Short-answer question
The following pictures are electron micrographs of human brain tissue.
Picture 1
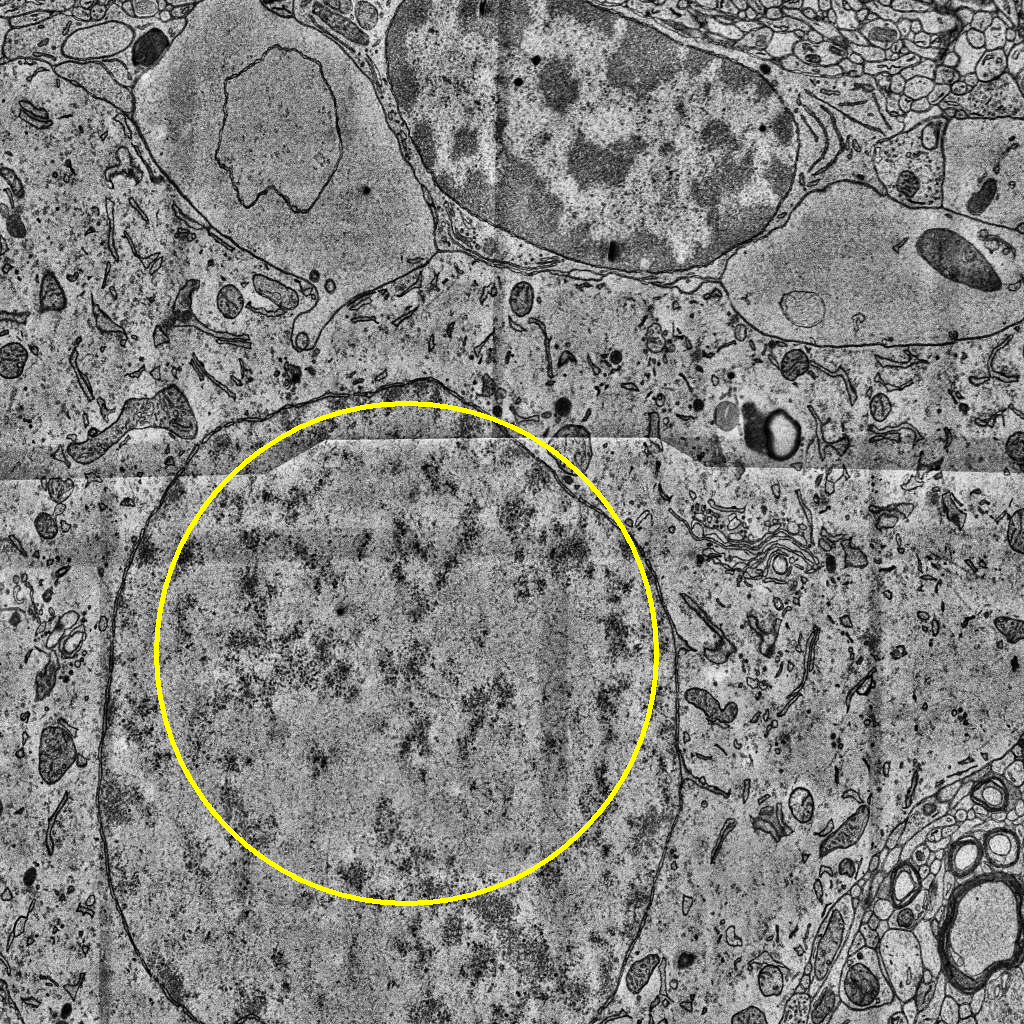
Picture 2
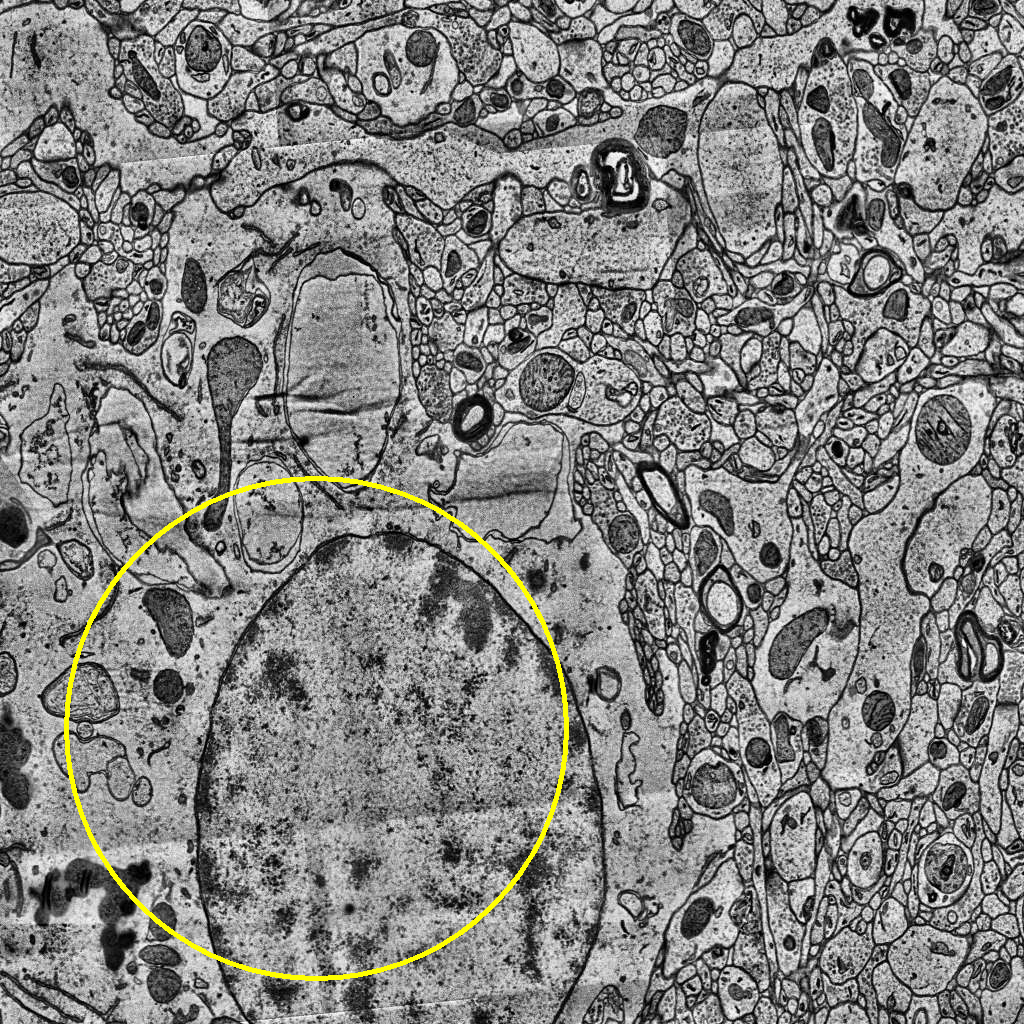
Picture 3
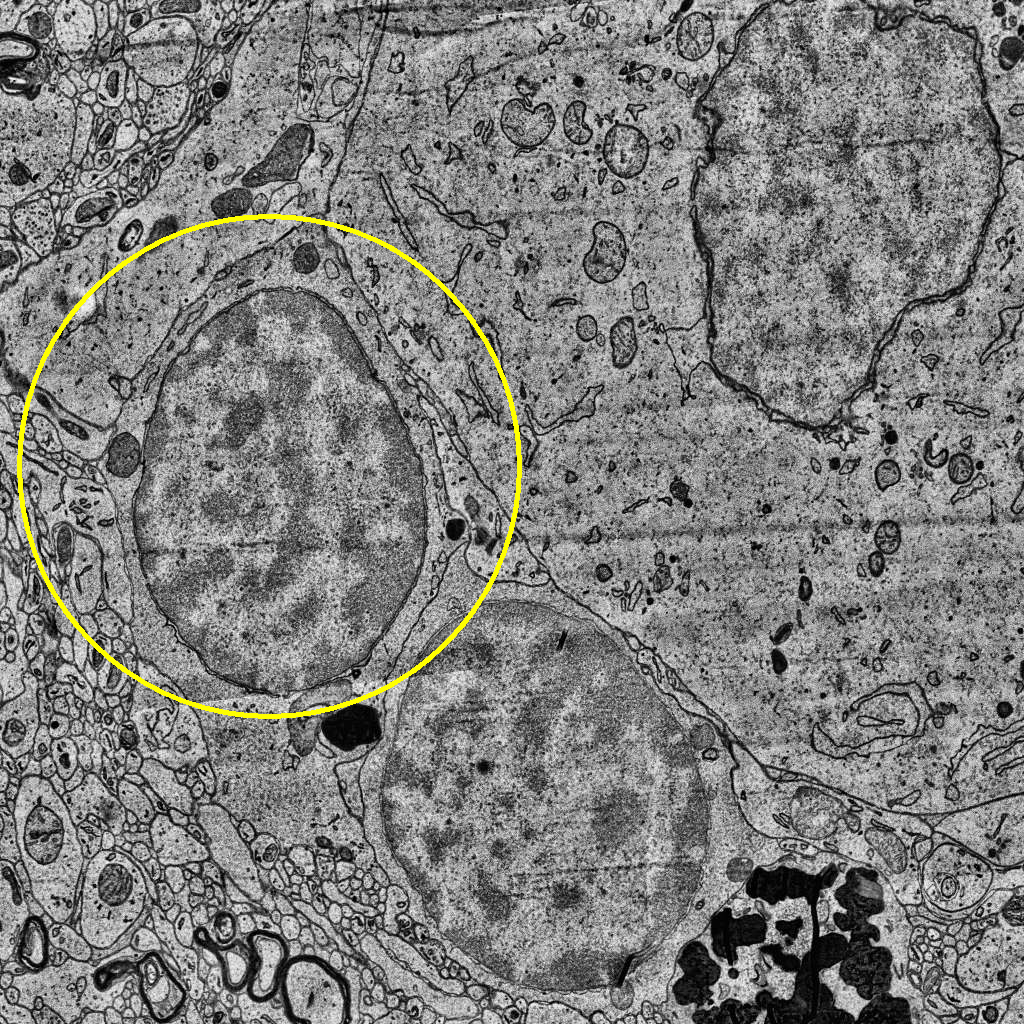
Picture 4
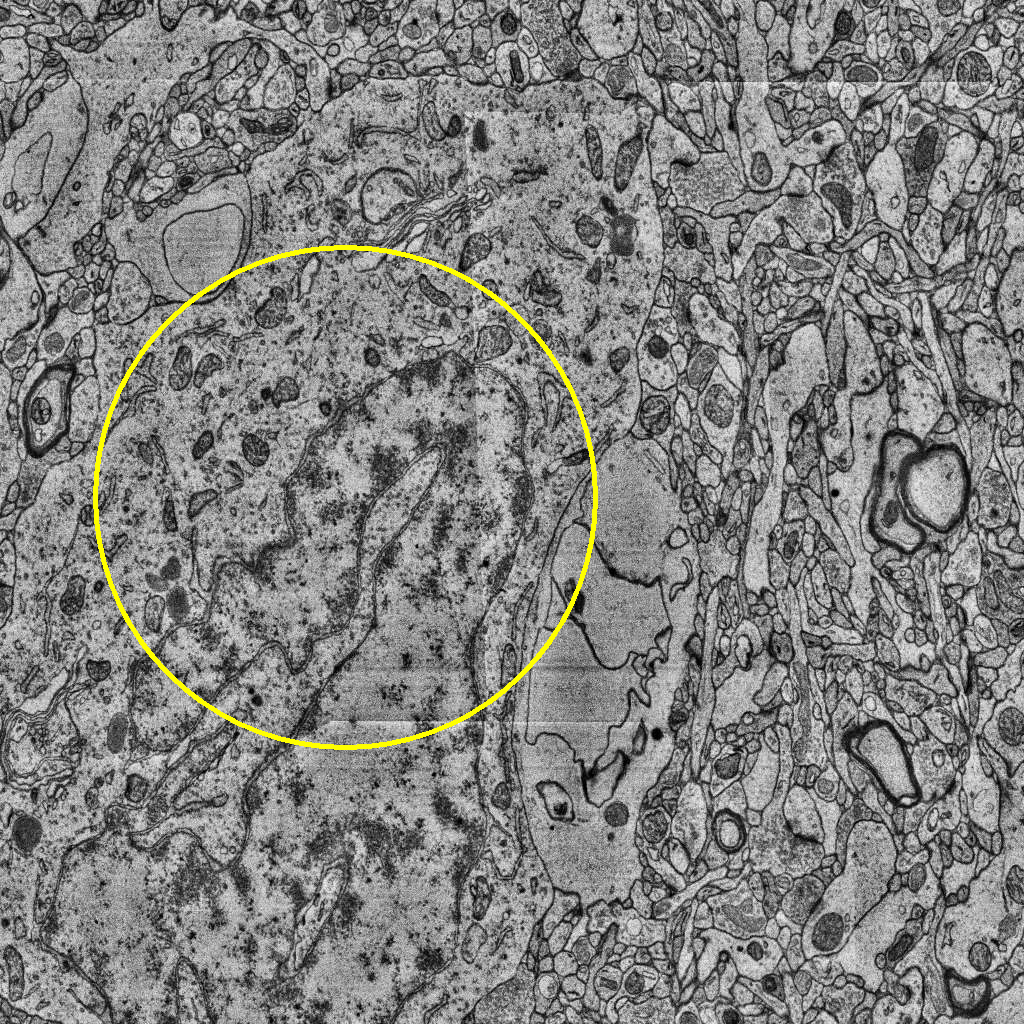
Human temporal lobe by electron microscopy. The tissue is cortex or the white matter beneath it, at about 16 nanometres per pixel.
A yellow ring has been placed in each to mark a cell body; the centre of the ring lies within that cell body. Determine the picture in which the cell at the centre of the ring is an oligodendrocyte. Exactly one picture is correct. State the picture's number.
3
